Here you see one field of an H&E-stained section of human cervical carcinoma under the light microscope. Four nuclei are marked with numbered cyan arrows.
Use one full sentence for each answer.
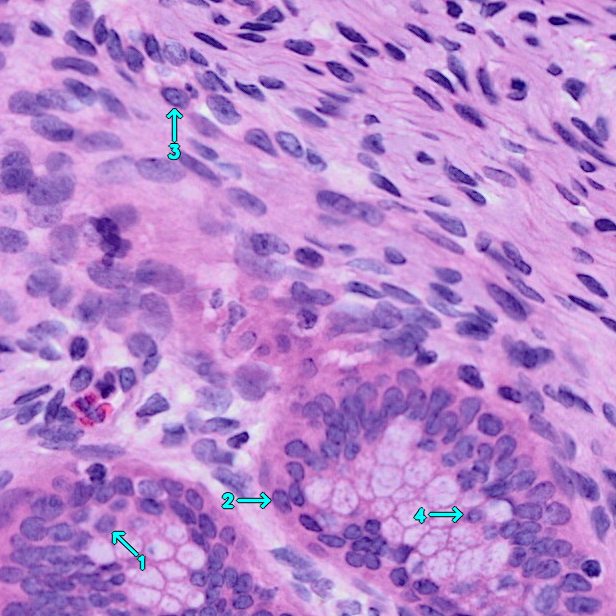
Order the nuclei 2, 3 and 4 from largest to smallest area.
Largest first, the order by area is 3, 2, 4.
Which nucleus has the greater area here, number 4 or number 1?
Nucleus 1 covers more area, about 1.5 times as much as nucleus 4.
